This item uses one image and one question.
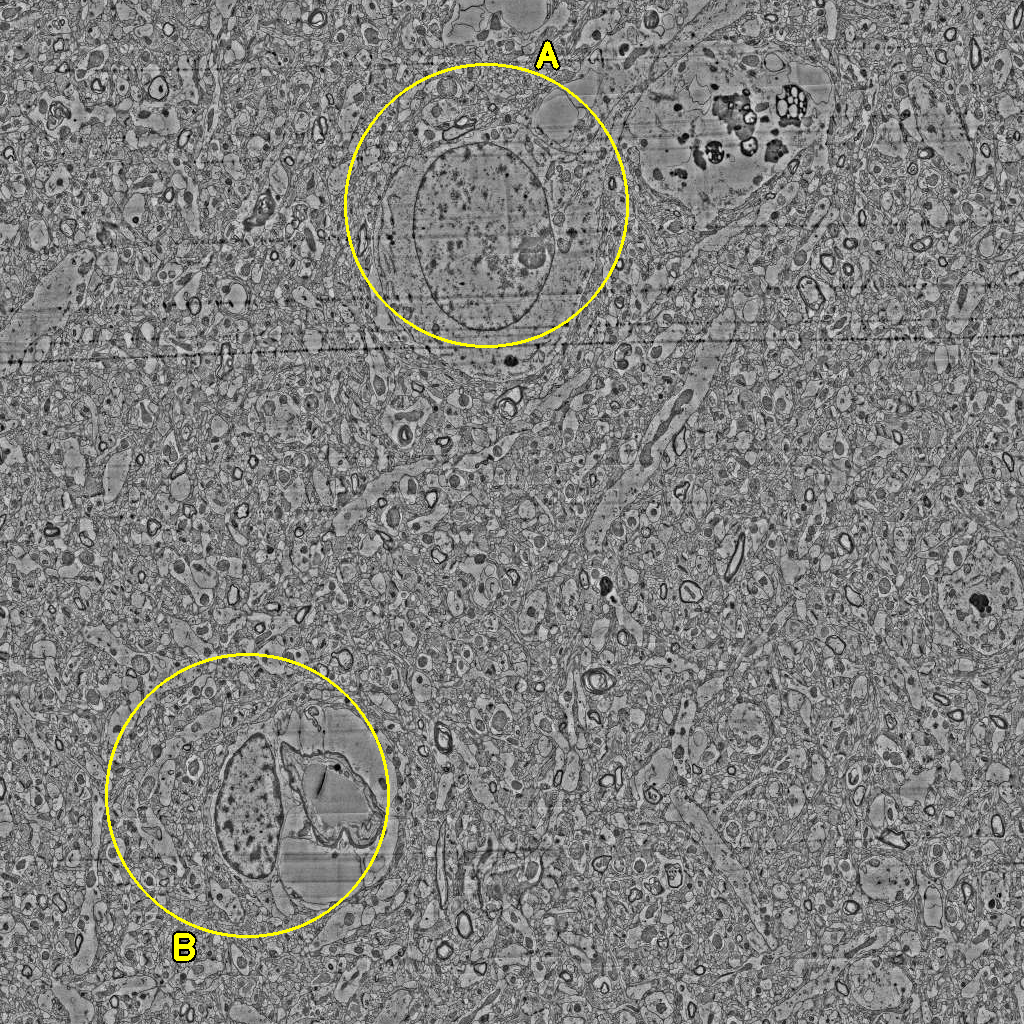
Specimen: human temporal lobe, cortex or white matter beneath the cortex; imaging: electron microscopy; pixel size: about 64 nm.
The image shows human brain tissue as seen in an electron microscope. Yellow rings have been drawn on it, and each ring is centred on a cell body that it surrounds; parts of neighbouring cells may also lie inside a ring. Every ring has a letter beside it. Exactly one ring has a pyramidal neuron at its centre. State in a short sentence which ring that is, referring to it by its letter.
Ring A has that cell at its centre.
